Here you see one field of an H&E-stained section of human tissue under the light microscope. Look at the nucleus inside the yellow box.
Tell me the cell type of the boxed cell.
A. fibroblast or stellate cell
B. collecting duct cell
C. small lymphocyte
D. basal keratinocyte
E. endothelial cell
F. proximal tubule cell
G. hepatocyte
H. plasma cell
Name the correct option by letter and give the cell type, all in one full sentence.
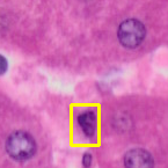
In this case the boxed cell is a fibroblast or stellate cell, so option A is correct.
